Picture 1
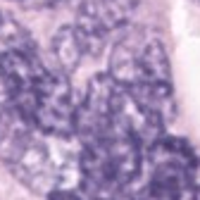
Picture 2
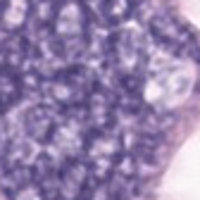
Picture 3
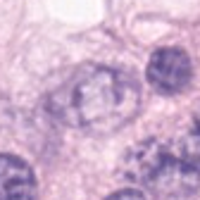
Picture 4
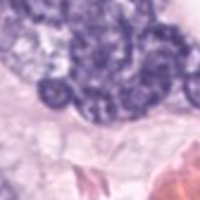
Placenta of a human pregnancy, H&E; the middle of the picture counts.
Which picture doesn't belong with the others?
Picture 3.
